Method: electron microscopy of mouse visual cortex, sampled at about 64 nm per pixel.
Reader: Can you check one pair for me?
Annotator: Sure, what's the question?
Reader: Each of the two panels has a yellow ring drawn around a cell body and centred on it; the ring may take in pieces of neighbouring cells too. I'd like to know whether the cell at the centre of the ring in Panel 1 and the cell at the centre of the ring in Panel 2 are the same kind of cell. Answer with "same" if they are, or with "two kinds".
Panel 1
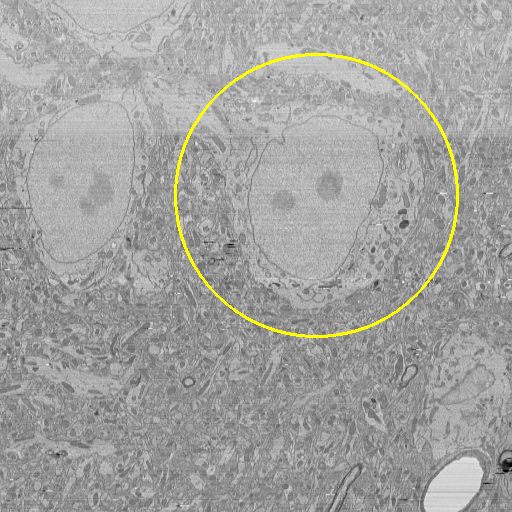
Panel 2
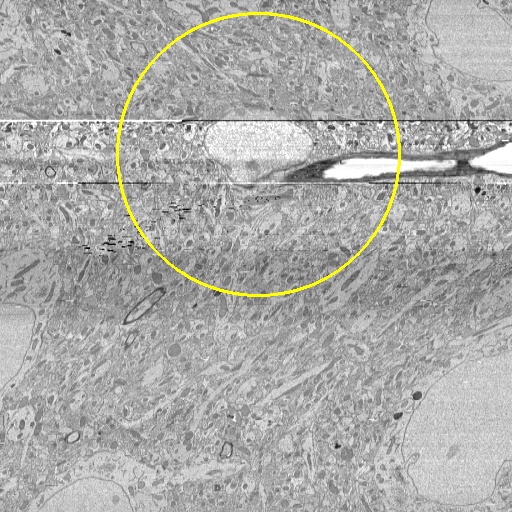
two kinds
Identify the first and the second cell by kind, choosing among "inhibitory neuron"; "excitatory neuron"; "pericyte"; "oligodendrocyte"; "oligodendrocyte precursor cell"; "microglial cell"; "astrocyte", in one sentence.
The one in the first picture is an excitatory neuron, while the one in the second is an astrocyte.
